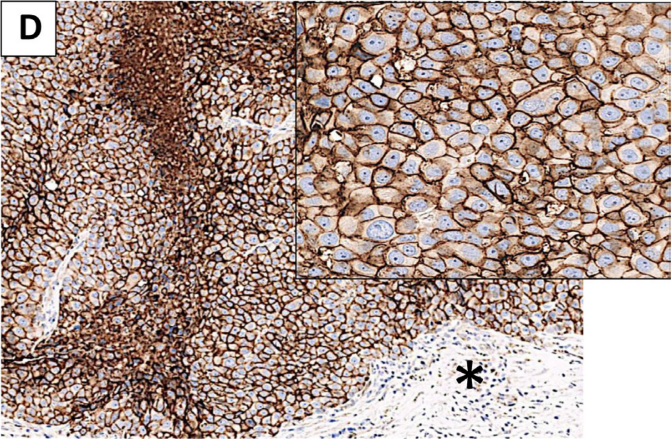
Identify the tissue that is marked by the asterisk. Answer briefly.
stromal tissue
